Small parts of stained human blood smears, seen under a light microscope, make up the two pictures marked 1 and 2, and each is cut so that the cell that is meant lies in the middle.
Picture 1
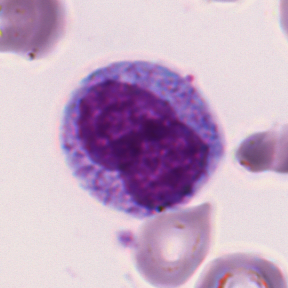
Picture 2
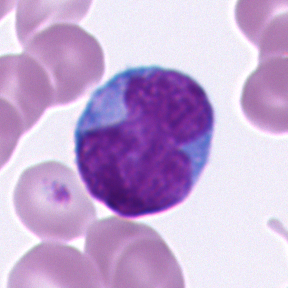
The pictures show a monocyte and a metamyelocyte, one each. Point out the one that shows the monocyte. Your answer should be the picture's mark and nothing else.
2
